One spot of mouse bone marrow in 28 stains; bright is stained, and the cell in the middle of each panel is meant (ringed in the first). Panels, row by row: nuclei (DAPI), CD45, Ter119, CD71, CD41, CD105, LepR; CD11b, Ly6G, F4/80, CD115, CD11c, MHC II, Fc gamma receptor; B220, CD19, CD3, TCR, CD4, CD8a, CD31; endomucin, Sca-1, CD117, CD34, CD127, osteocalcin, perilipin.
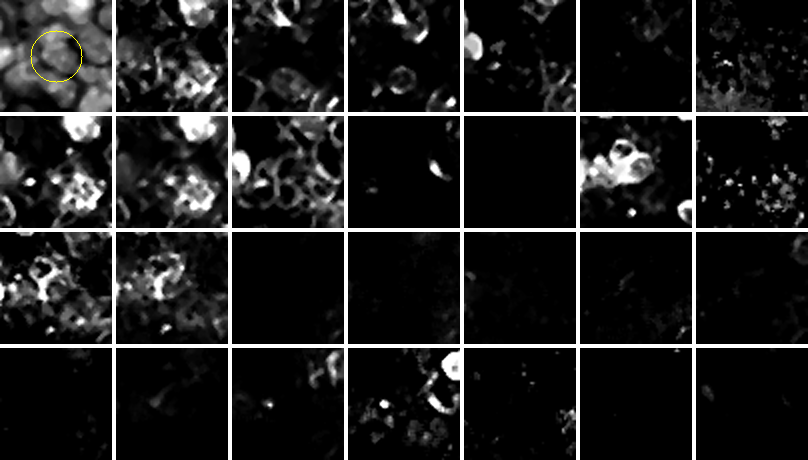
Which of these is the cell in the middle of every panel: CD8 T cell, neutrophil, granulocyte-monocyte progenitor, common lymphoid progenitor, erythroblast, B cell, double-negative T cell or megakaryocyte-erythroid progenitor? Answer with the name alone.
B cell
